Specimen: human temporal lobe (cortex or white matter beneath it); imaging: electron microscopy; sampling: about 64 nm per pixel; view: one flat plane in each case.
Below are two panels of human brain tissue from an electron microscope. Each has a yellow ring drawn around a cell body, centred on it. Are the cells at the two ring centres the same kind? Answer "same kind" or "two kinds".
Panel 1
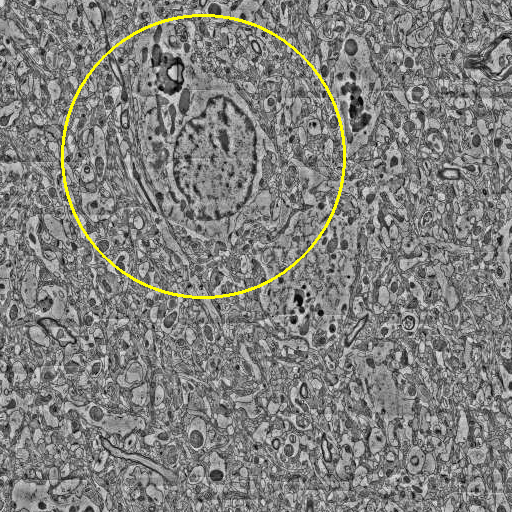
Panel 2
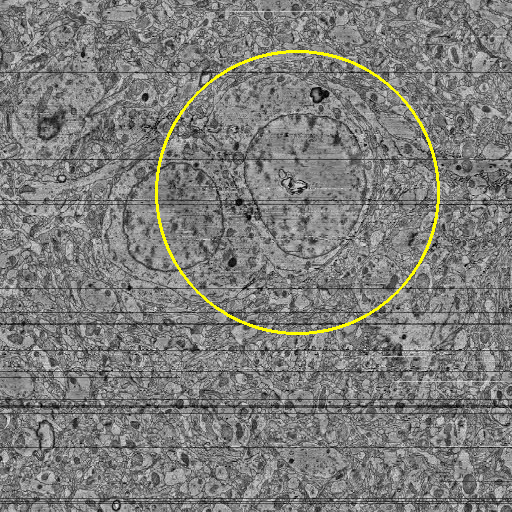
two kinds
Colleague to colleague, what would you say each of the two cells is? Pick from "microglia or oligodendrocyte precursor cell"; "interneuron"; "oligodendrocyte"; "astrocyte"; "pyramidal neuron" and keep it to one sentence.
The cell in the first picture is an astrocyte; the second picture's cell is a pyramidal neuron.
